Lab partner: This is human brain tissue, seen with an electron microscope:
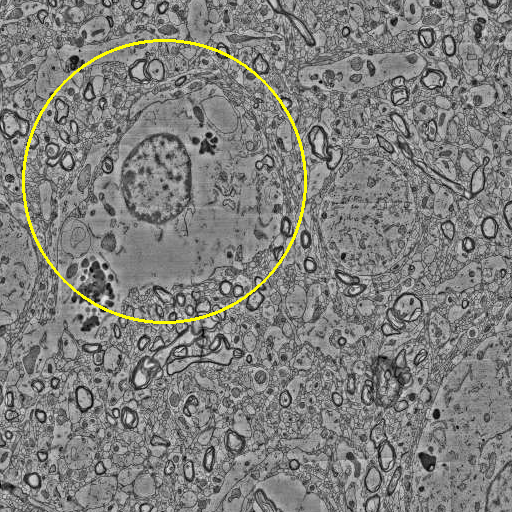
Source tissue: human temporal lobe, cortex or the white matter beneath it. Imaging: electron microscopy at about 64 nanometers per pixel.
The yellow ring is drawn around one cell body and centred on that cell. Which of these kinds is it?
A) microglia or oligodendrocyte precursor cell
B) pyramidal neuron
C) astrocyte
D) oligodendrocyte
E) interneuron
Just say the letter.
C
